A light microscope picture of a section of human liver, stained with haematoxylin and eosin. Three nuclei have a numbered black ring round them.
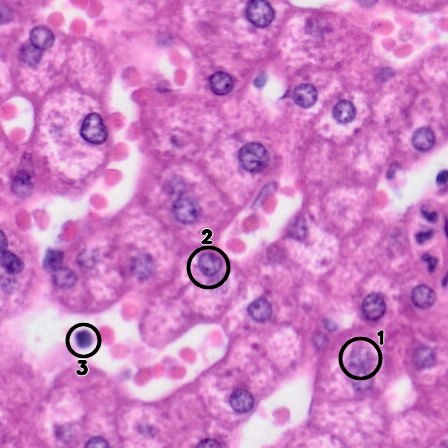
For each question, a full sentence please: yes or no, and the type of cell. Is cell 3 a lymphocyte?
Yes, the cell whose number is 3 is a lymphocyte.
